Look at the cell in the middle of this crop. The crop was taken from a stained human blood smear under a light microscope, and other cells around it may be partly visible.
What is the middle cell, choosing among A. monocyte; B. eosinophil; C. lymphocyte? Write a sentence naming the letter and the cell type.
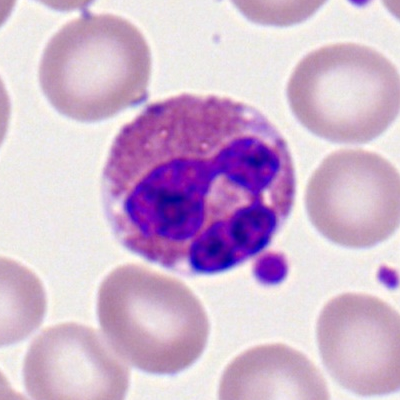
The cell centred in the crop is an eosinophil, and the correct option is thus B.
